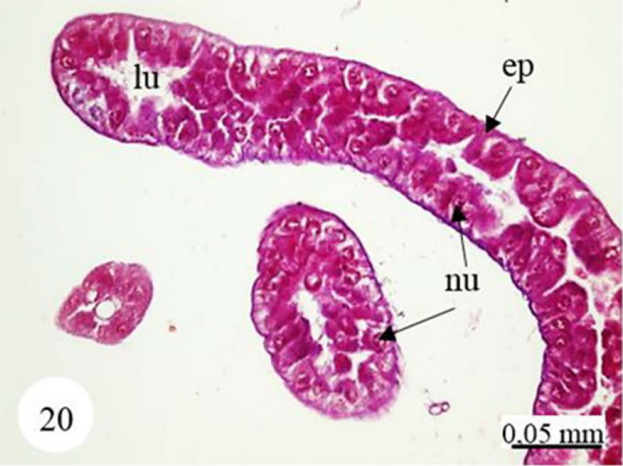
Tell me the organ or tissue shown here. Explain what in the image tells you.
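Malpighian tubule. Narrow tubes cut lengthwise and across. A single layer of large cells surrounds a small central lumen. The tubes have no muscle coat or folded mucosa.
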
